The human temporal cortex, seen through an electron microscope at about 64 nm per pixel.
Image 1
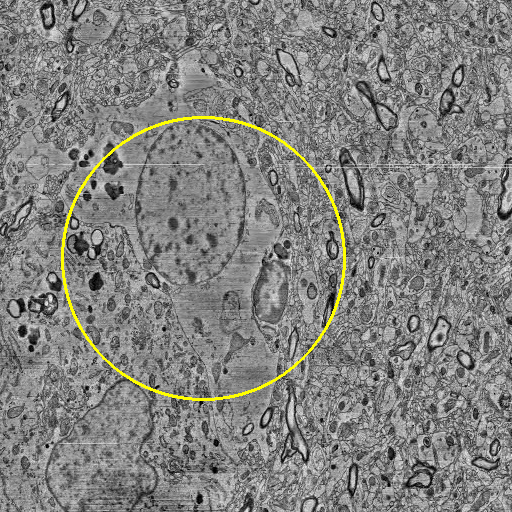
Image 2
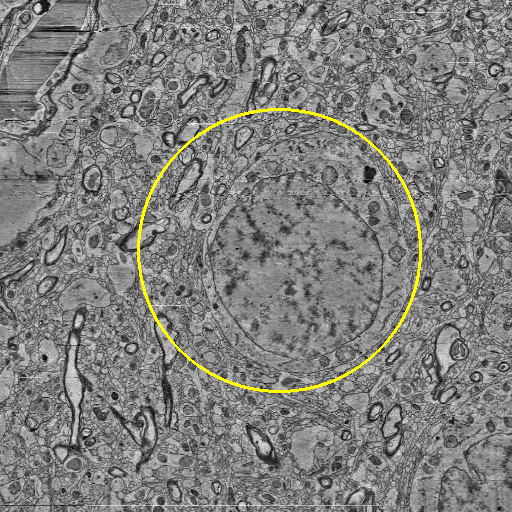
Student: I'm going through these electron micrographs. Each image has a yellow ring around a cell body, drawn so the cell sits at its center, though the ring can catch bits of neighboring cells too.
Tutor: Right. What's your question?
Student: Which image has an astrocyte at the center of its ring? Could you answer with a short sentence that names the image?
Image 1 shows it at the center of its ring.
